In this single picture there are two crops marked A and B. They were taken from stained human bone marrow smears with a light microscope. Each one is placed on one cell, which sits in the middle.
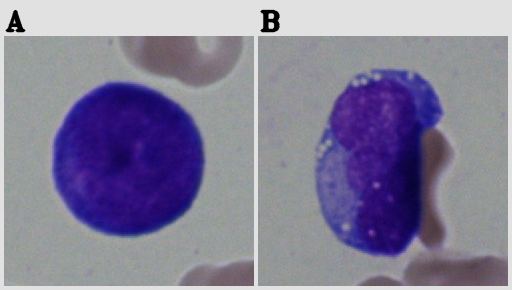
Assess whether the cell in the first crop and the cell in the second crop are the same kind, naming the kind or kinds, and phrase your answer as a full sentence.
Yes, both crops show blasts in their central position.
